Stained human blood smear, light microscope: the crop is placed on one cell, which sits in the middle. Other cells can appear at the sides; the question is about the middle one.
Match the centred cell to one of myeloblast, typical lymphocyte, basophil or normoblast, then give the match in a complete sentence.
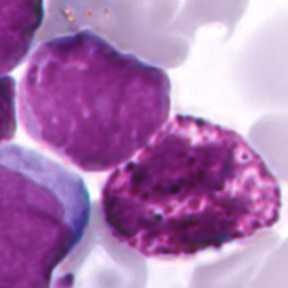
The cell the crop is centered on is a basophil.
